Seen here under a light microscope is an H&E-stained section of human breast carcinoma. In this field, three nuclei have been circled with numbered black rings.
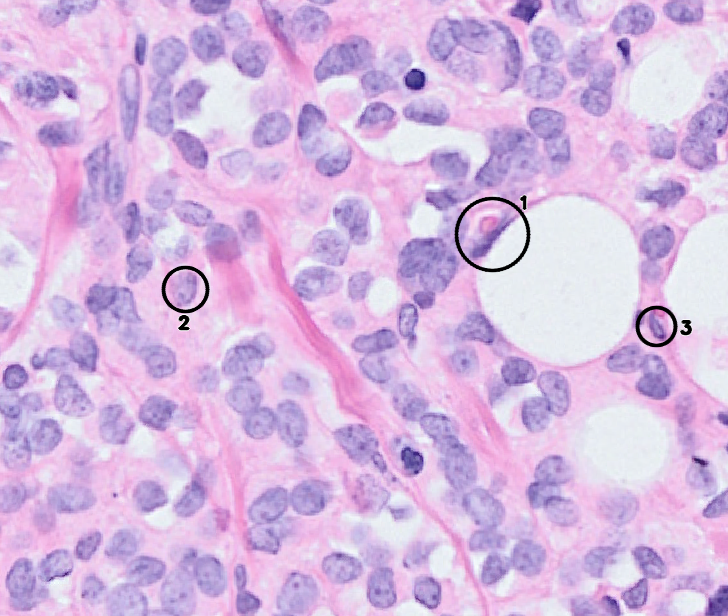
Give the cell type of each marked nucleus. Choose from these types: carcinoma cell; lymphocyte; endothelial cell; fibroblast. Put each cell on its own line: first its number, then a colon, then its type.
1: endothelial cell
2: carcinoma cell
3: endothelial cell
